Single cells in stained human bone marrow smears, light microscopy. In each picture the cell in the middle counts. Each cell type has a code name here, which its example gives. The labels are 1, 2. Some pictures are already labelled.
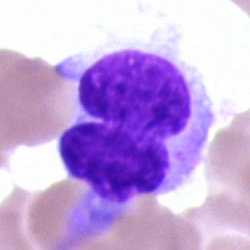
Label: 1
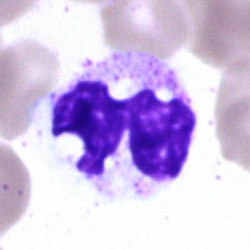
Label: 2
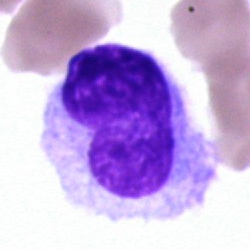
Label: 1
